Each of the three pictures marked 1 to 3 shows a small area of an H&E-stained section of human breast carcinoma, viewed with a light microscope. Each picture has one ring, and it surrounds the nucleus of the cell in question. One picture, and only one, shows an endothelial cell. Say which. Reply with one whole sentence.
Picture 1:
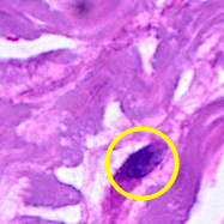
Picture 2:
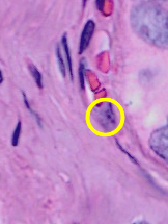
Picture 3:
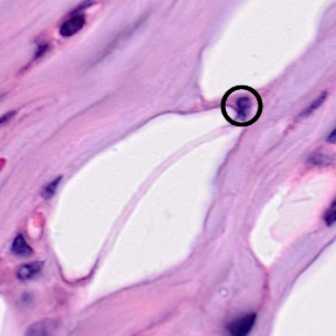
The endothelial cell is the one in picture 2.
